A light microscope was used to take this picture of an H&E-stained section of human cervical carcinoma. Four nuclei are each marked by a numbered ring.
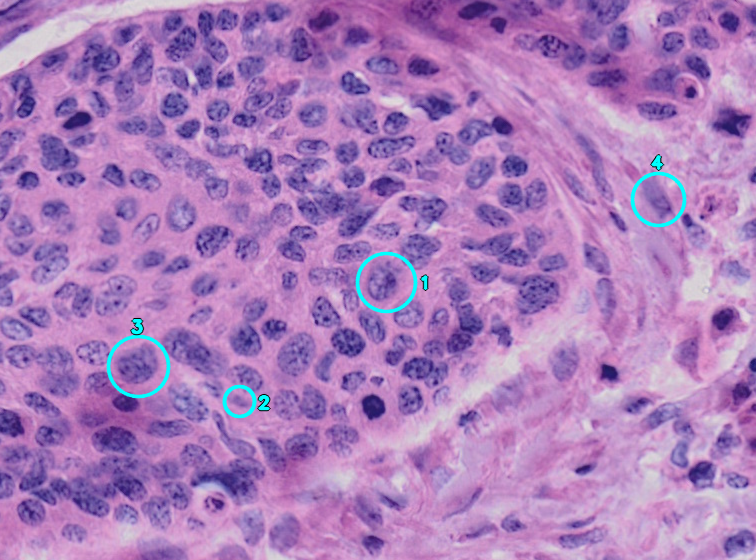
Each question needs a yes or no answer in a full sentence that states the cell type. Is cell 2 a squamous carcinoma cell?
Yes, in this tissue section, number 2 is a squamous carcinoma cell.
